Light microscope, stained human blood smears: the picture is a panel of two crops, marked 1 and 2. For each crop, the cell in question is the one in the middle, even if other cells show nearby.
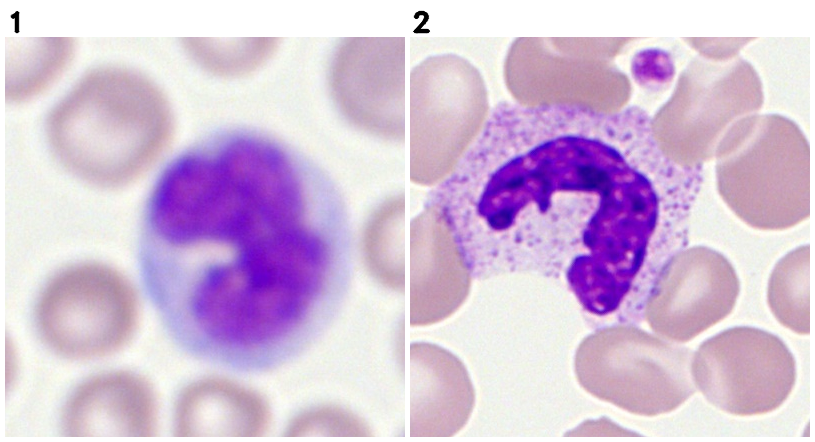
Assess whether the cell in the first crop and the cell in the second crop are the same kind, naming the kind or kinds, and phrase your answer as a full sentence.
No, at the centre of crop 1 is a monocyte, and at the centre of crop 2 is a band neutrophil.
